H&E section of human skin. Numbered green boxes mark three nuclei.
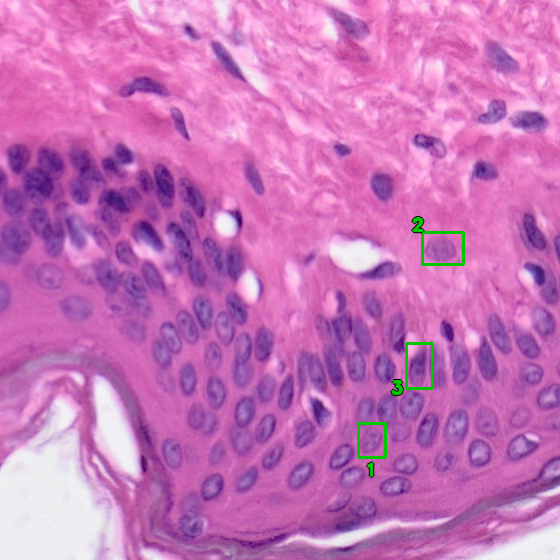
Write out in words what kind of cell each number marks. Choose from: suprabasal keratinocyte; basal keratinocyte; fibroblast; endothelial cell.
Cell 1 is a suprabasal keratinocyte, cell 2 is a fibroblast and cell 3 is a basal keratinocyte.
